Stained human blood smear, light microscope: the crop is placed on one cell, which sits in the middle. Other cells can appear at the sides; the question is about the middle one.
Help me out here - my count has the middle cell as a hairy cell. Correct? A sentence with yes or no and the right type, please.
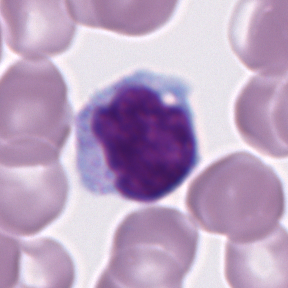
No, the cell occupying the centre is a typical lymphocyte, not a hairy cell.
